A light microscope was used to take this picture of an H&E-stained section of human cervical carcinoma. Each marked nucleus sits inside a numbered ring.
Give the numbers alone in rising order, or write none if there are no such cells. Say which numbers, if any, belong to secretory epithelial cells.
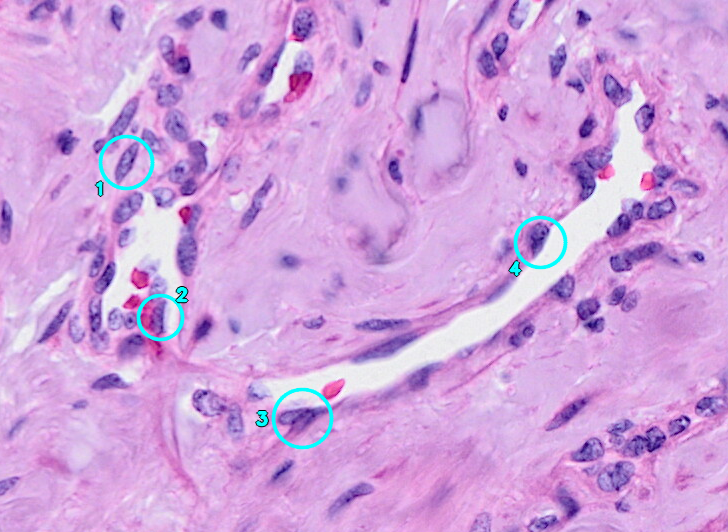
none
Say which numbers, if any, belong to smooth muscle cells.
1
